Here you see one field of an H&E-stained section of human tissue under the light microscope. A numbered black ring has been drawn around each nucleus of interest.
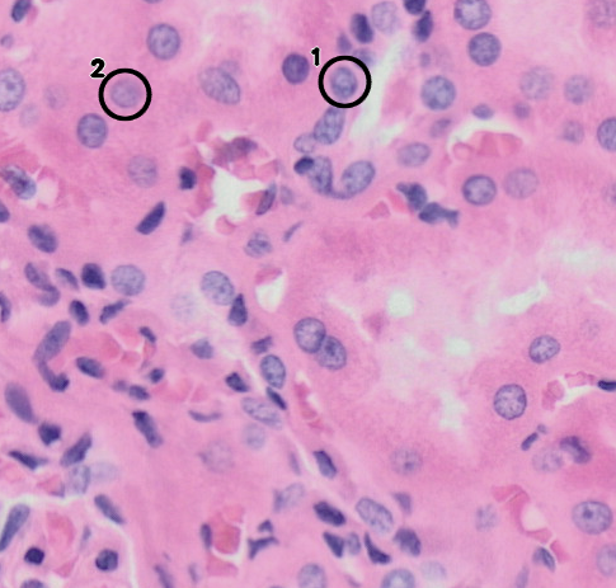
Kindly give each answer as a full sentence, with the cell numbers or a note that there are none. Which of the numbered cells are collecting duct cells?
It is only cell 1 that is a collecting duct cell among the numbered cells.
